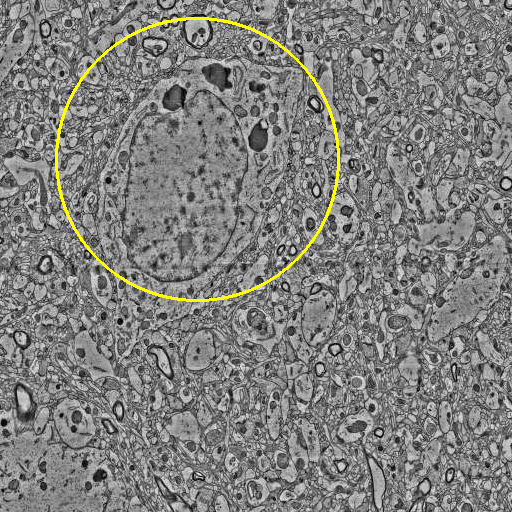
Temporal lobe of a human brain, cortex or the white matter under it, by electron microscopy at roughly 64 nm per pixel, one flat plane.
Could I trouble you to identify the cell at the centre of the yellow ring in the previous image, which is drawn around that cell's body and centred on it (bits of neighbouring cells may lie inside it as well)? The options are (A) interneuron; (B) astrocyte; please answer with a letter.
A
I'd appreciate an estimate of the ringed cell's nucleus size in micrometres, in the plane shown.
The nucleus is about 12 micrometres in length and 8 in width, clearly longer than it is wide in this plane.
